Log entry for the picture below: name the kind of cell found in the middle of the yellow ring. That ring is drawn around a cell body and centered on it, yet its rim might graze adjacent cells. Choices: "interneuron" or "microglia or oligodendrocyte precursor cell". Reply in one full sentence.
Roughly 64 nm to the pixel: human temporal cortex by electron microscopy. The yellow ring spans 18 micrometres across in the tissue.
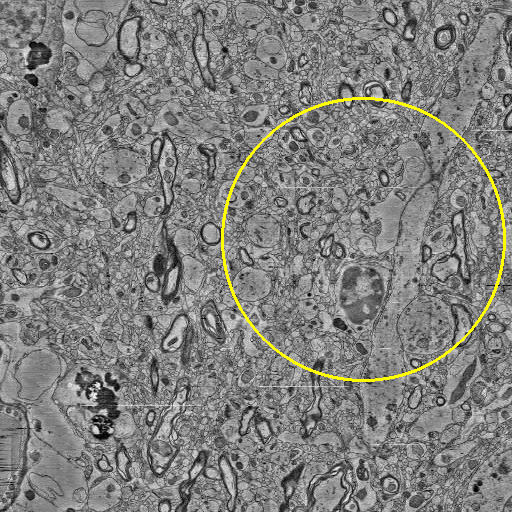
The cell in the middle of the yellow ring in this picture is a microglial cell or oligodendrocyte precursor cell.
